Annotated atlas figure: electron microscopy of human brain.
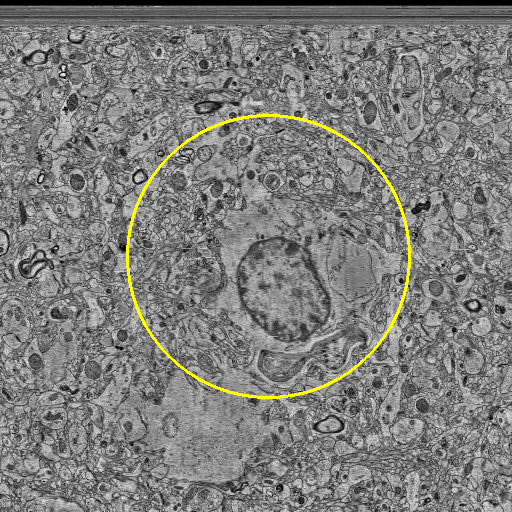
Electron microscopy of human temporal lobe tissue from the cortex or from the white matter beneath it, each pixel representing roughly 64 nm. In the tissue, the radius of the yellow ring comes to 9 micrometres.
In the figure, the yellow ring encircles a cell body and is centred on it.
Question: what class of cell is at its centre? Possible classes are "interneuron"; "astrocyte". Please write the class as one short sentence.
The yellow ring is drawn around an astrocyte.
